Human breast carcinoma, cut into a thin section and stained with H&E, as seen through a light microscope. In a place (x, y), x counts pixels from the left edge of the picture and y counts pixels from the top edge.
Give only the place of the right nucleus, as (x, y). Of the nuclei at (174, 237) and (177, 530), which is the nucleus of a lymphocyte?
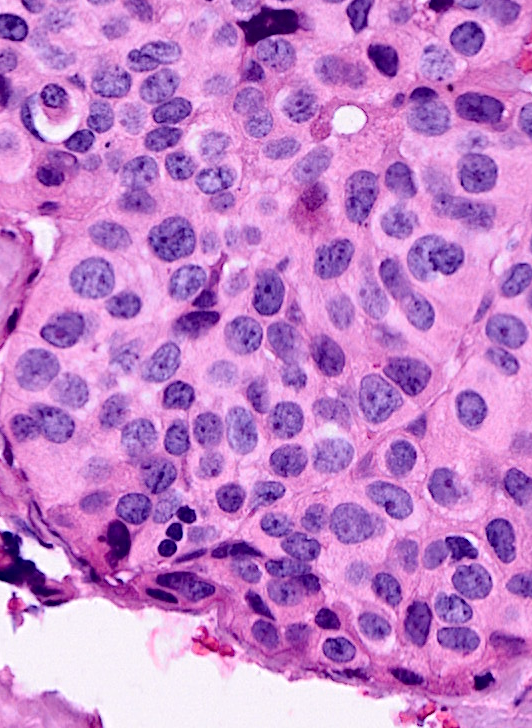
(177, 530)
